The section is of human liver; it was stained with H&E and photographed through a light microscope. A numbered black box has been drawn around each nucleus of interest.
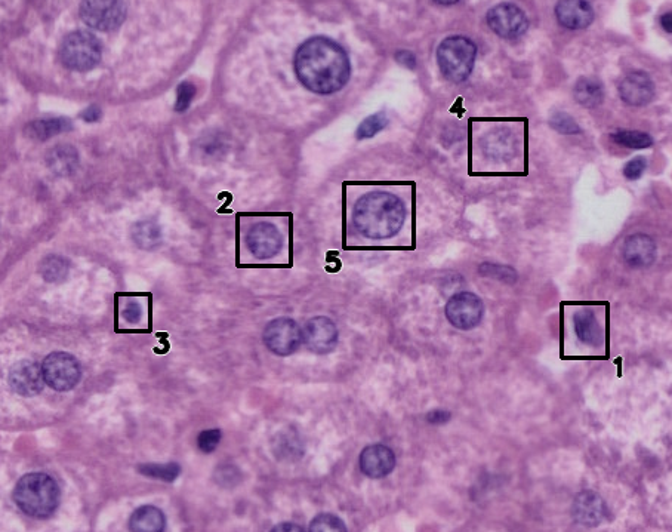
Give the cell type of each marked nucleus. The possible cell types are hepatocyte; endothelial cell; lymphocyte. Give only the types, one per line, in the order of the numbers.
endothelial cell
hepatocyte
lymphocyte
hepatocyte
hepatocyte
